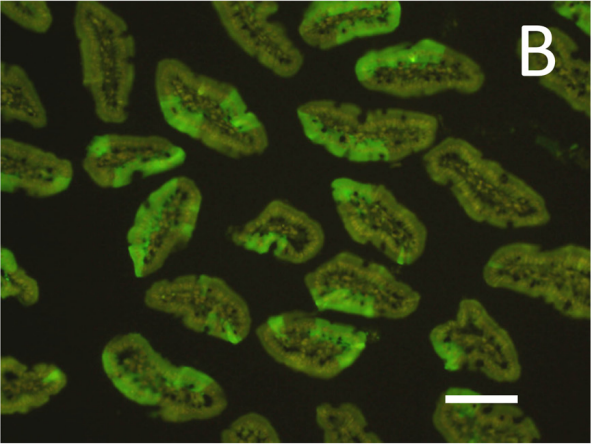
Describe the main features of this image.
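Every villus shows a continuous glowing rim of epithelium surrounding a darker, speckled central core. Along the rims of many villi, bright green sectors stand out against the duller olive-green of the rest of the epithelium; these sectors cover one end or one side of a villus rather than the whole rim, and some villi show none. The cores look alike in all the profiles, without the bright green, so the bright patches are confined to the surface lining.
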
